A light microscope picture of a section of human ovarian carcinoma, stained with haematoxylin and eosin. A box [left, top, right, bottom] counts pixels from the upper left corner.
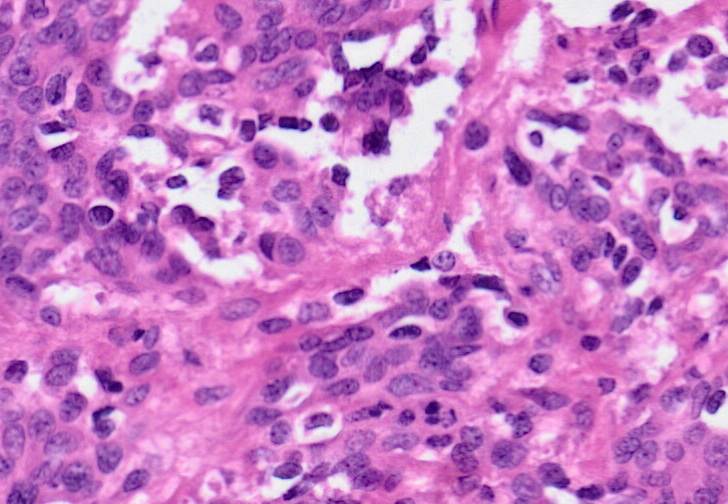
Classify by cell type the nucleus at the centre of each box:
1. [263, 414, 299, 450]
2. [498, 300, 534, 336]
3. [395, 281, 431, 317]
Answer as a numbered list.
1. macrophage or monocyte
2. macrophage or monocyte
3. carcinoma cell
